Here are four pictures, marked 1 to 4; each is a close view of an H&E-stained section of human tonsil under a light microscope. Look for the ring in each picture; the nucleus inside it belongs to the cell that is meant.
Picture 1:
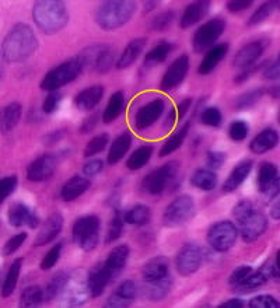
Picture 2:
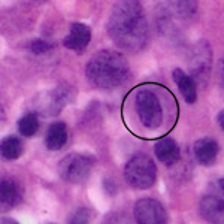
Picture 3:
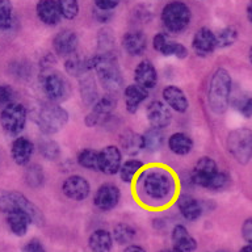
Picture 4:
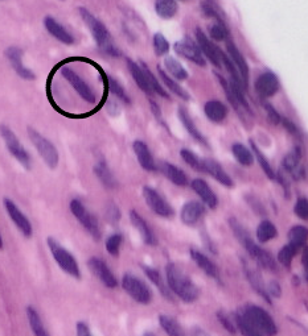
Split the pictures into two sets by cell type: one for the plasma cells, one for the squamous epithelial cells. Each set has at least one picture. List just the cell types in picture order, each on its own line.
squamous epithelial cell
squamous epithelial cell
plasma cell
squamous epithelial cell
